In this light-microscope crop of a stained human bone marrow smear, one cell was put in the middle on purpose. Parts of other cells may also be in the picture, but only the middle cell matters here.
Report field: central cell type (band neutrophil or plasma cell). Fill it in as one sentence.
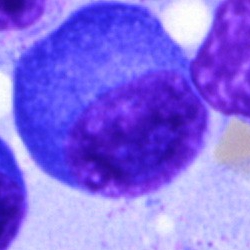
Occupying the centre of the crop is a plasma cell.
